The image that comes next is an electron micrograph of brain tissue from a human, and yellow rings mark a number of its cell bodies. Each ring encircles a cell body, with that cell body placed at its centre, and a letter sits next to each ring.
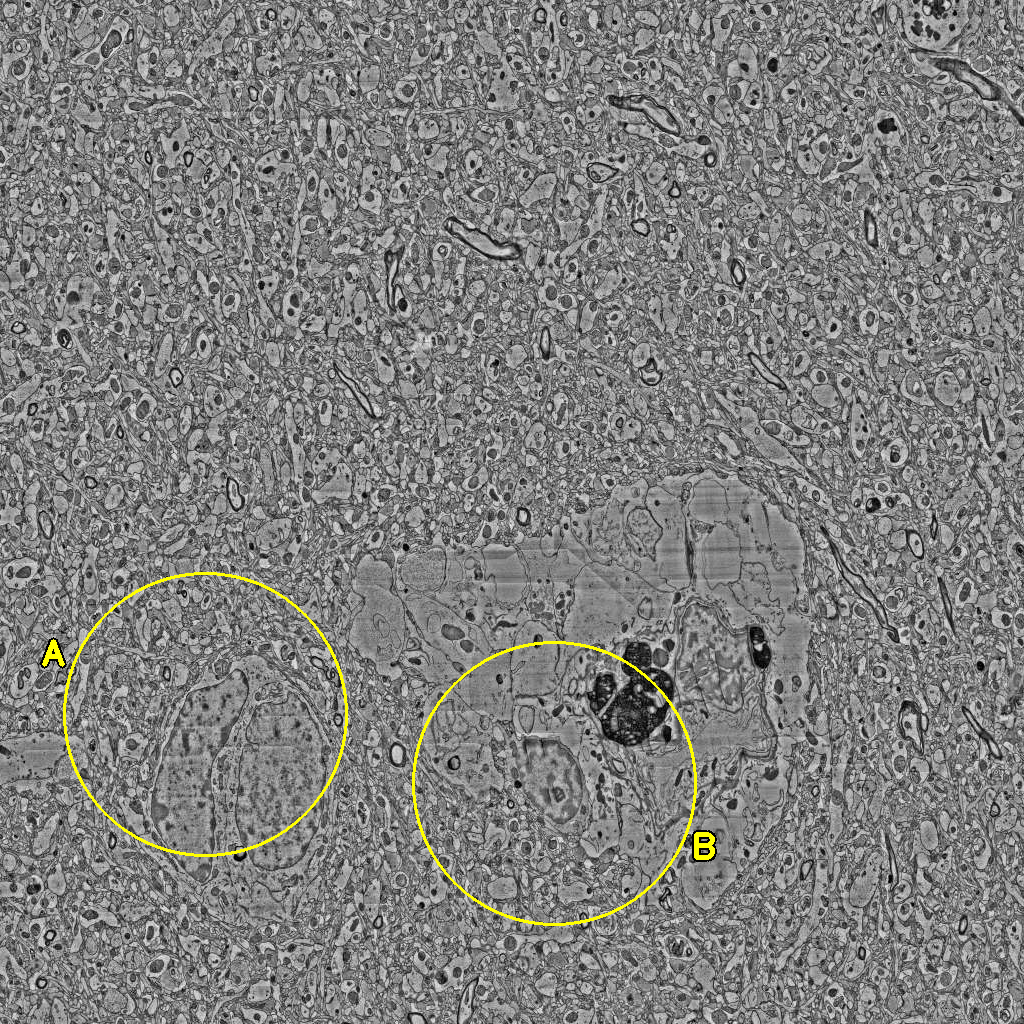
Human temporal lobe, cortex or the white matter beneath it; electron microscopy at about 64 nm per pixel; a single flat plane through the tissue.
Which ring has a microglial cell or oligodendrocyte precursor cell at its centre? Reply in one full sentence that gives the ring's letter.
In the image, ring A has the cell the question asks for at its centre.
